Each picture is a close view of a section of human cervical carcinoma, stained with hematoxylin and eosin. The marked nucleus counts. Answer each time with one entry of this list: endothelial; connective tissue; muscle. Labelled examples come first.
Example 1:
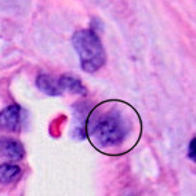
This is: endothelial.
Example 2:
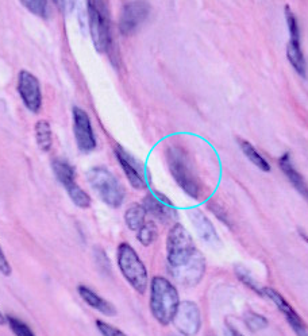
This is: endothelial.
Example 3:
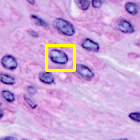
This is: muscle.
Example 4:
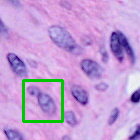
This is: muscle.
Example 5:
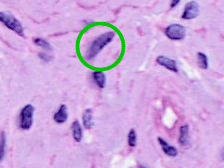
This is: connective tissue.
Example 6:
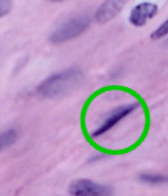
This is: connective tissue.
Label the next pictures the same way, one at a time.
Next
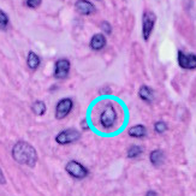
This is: muscle.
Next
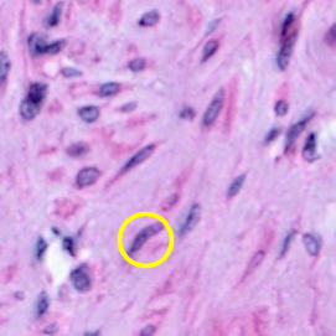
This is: muscle.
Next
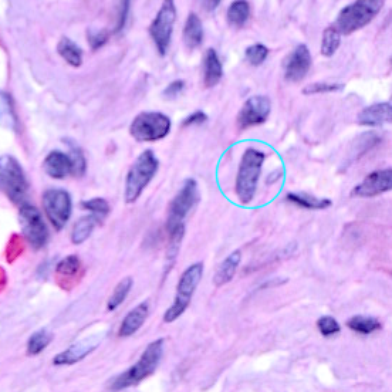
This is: connective tissue.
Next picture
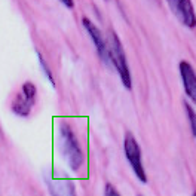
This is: endothelial.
